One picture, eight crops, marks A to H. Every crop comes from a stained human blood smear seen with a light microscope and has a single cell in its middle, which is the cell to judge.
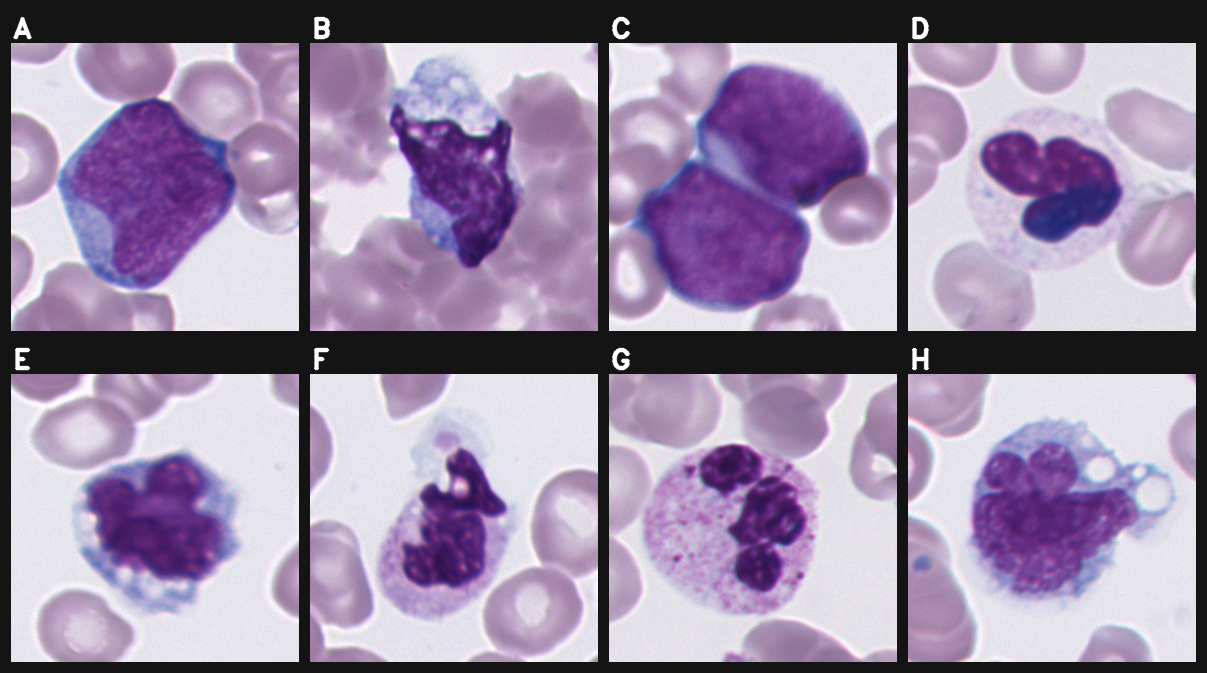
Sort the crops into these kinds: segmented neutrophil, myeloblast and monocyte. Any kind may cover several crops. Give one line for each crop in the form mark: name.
A: myeloblast
B: monocyte
C: myeloblast
D: segmented neutrophil
E: monocyte
F: segmented neutrophil
G: segmented neutrophil
H: monocyte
